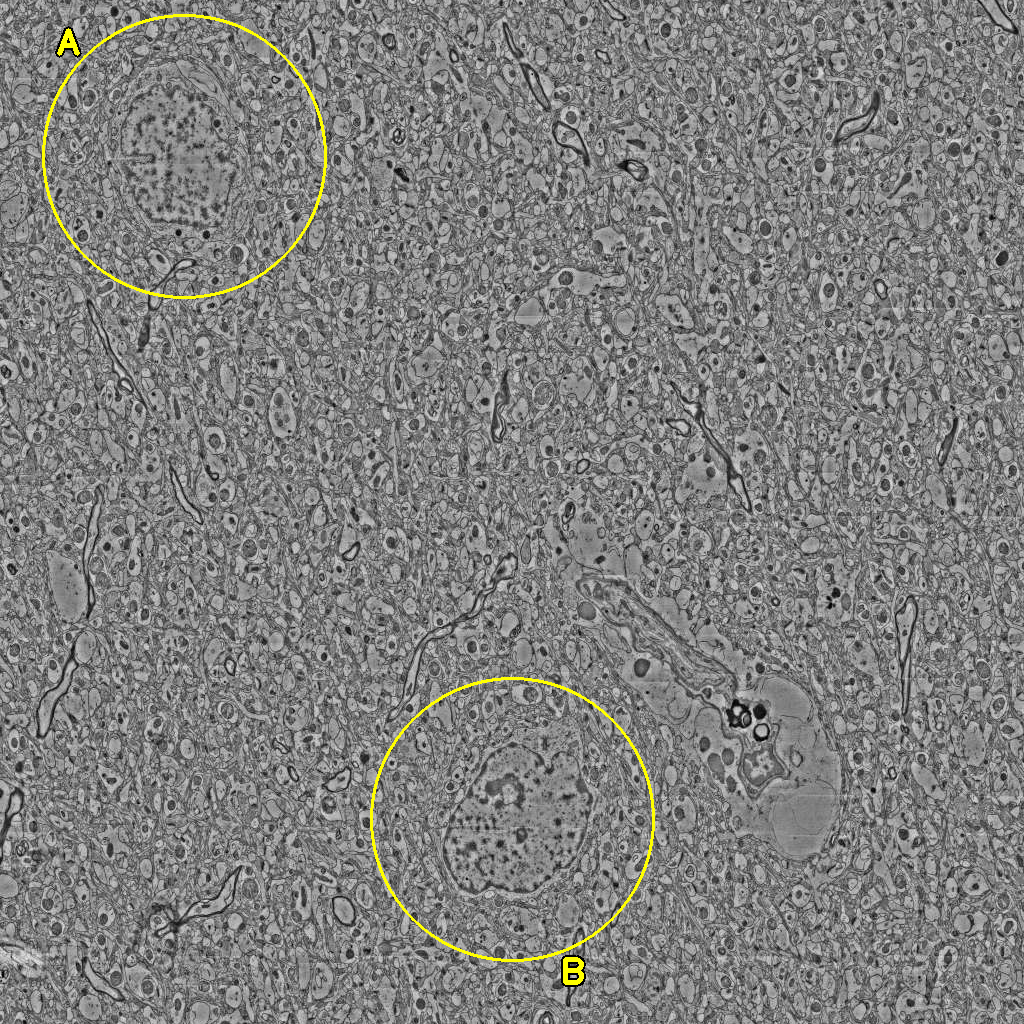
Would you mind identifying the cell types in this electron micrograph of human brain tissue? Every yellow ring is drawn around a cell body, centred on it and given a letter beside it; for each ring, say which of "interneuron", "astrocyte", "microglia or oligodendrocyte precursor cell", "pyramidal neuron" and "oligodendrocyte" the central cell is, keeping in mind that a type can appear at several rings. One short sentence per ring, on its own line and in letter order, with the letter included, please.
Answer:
At the centre of ring A lies an interneuron.
At the centre of ring B lies a microglial cell or oligodendrocyte precursor cell.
